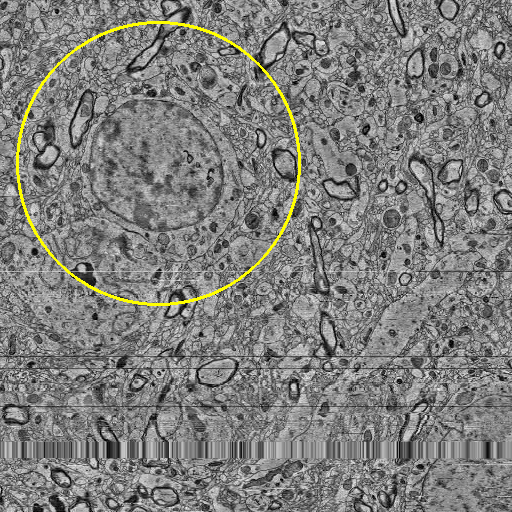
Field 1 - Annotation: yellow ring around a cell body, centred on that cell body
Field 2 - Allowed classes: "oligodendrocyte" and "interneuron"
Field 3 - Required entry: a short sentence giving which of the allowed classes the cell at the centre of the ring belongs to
The centred cell is an interneuron.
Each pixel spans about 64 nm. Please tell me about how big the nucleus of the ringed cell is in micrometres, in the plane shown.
In this plane the nucleus is about 9 micrometres across.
